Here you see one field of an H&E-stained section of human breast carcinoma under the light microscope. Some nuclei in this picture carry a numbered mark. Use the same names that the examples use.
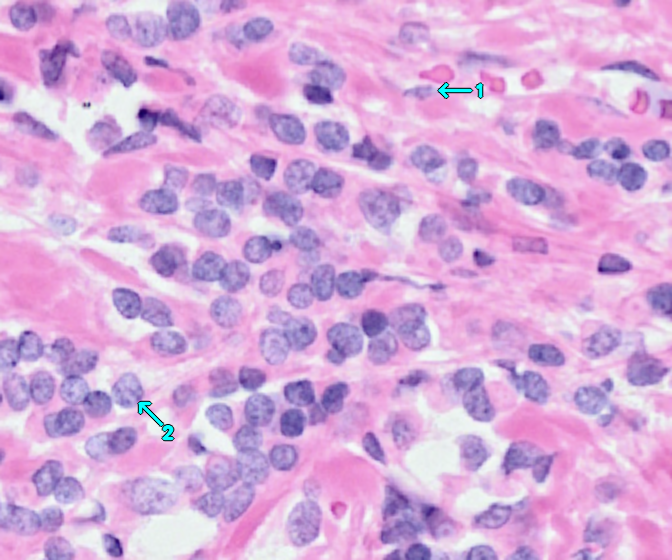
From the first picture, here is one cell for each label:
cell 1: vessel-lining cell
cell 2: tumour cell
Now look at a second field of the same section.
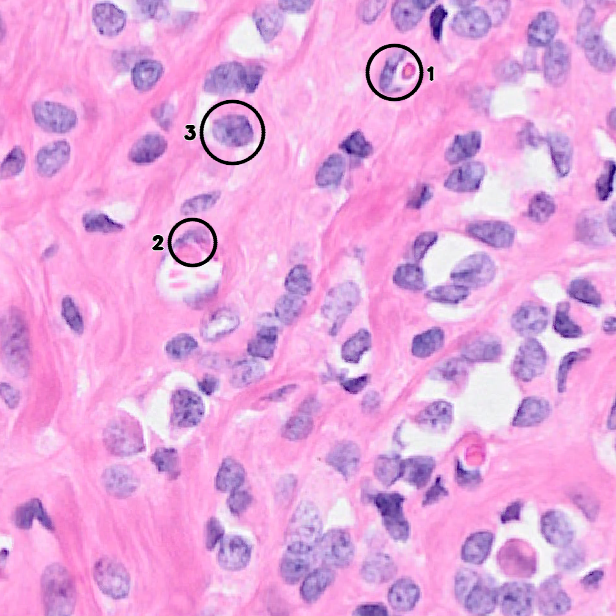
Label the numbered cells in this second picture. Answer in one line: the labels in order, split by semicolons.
vessel-lining cell; vessel-lining cell; tumour cell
